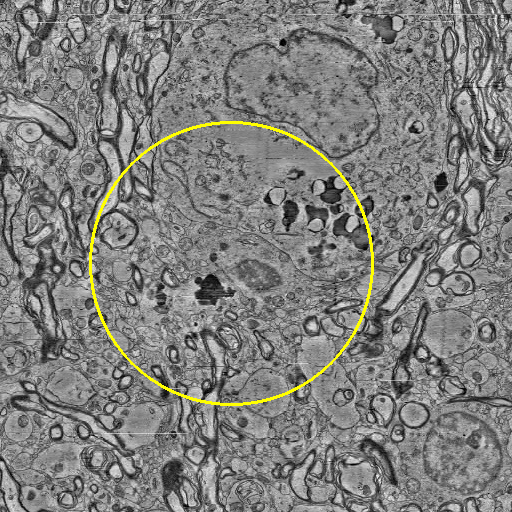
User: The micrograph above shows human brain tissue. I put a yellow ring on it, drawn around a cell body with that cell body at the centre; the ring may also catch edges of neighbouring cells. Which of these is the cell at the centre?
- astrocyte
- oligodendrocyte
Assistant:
oligodendrocyte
